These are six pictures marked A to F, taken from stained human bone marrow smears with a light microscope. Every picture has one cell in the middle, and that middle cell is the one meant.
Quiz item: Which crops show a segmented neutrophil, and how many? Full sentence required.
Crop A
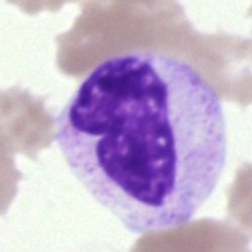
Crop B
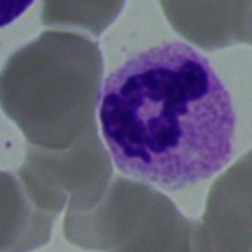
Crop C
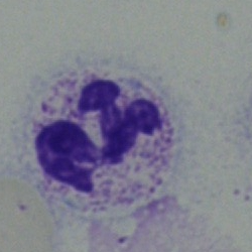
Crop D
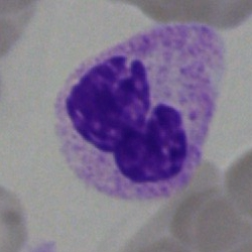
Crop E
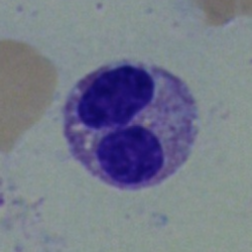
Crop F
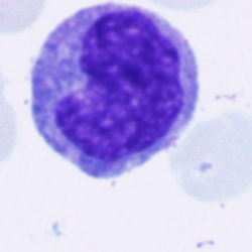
A total of four crops, B, C, D and E, show segmented neutrophils.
